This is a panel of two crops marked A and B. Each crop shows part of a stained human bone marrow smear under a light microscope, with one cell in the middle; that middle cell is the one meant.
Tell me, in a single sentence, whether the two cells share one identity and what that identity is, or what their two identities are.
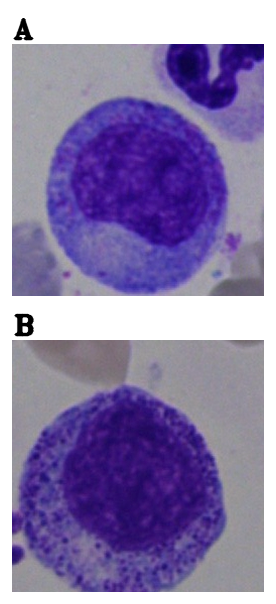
No, a promyelocyte lies at the centre of crop A, and a myelocyte lies at the centre of crop B.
